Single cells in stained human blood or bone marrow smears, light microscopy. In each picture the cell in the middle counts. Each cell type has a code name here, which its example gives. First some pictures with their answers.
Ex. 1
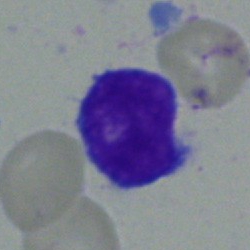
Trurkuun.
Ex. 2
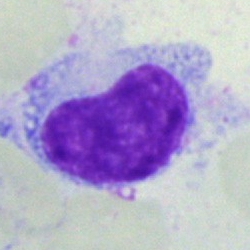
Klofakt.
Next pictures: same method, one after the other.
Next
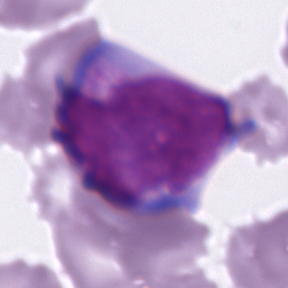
Trurkuun.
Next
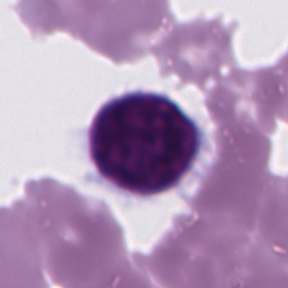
Klofakt.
